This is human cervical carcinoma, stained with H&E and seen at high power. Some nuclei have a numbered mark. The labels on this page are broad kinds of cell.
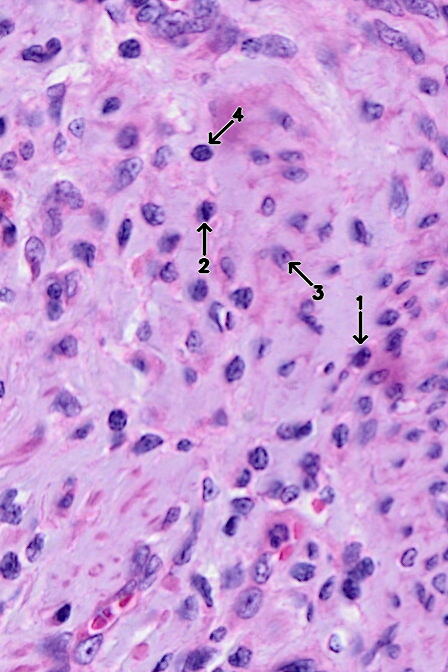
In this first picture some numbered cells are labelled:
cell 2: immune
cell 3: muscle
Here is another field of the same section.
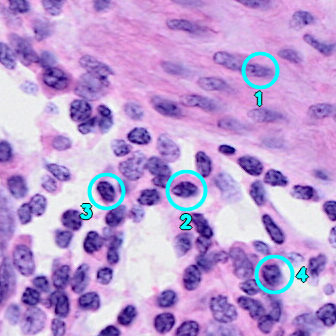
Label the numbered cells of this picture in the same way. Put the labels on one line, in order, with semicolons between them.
muscle; immune; immune; immune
